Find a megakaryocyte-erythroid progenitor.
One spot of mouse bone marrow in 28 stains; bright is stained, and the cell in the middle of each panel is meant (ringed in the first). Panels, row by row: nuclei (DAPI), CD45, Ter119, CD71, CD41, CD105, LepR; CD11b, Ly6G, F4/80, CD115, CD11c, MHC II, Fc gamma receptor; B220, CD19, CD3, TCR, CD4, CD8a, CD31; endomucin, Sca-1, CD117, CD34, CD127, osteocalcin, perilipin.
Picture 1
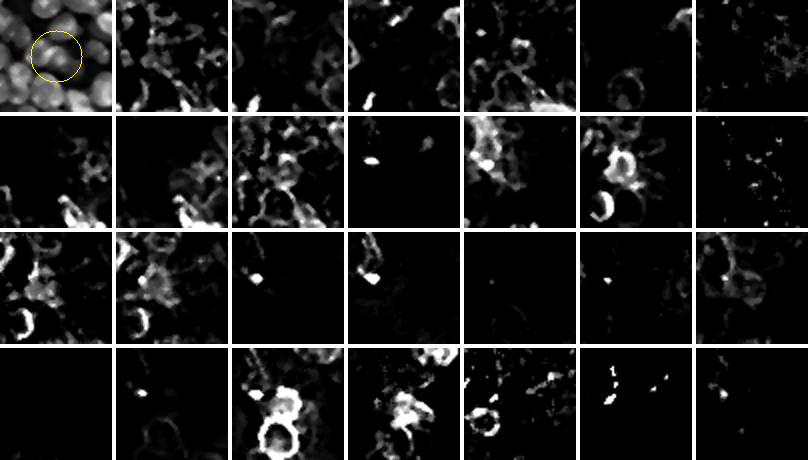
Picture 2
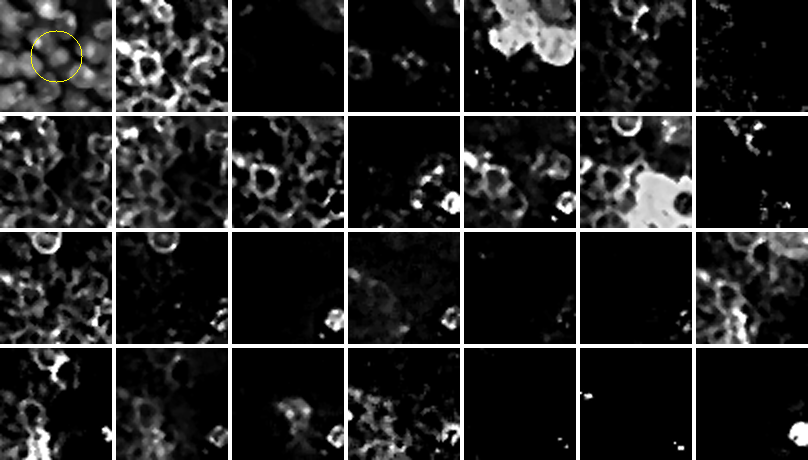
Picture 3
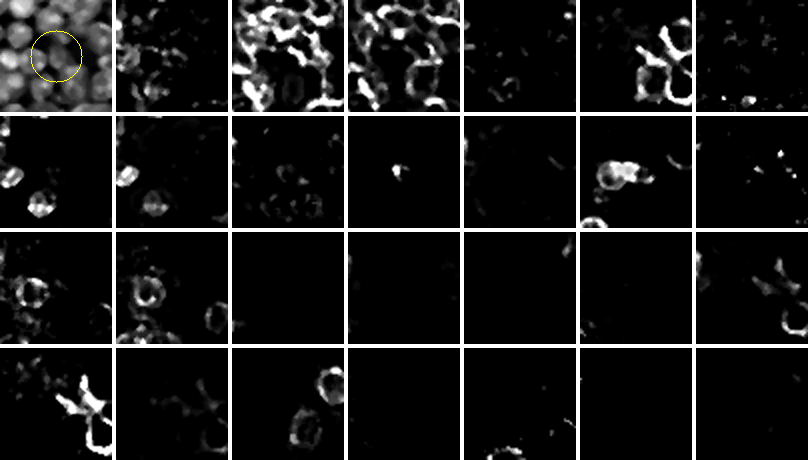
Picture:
2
